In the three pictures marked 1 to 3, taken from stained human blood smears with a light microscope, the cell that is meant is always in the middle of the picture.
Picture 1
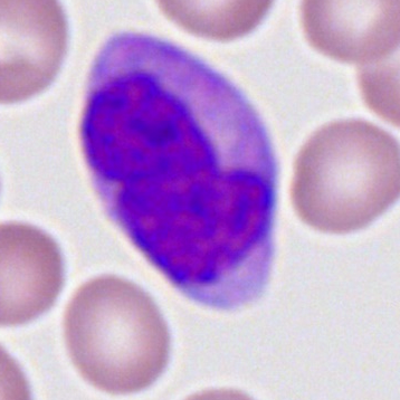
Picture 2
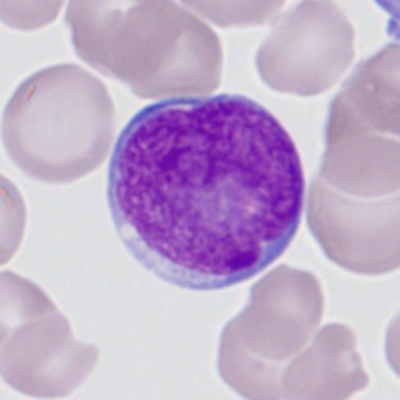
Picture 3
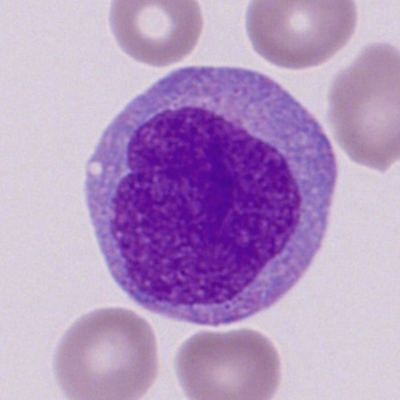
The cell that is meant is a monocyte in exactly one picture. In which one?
1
